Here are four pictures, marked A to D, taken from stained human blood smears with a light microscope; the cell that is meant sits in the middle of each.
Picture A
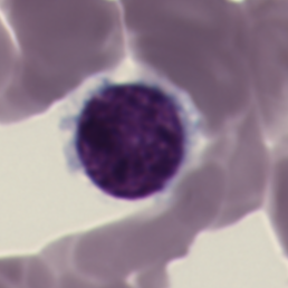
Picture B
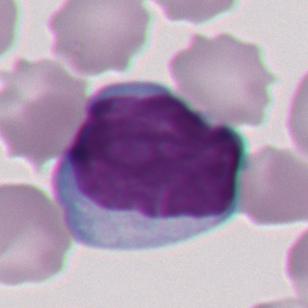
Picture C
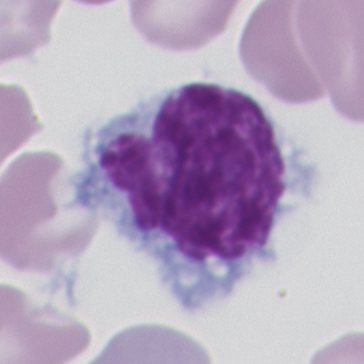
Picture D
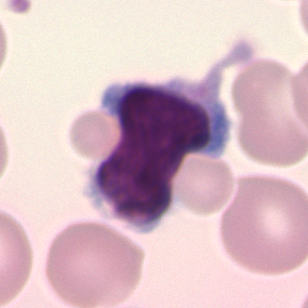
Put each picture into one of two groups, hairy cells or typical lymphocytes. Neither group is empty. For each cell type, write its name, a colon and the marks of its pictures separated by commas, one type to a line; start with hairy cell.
hairy cell: A, C
typical lymphocyte: B, D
